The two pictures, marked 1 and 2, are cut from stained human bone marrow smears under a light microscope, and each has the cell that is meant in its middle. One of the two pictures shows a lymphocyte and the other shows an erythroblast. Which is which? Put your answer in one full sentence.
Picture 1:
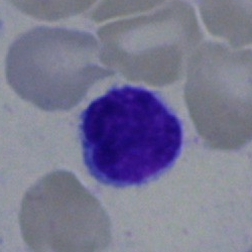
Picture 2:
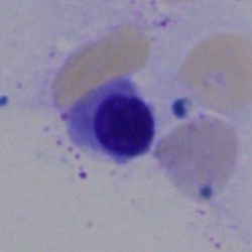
It is picture 1 that shows a lymphocyte, and picture 2 that shows an erythroblast.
